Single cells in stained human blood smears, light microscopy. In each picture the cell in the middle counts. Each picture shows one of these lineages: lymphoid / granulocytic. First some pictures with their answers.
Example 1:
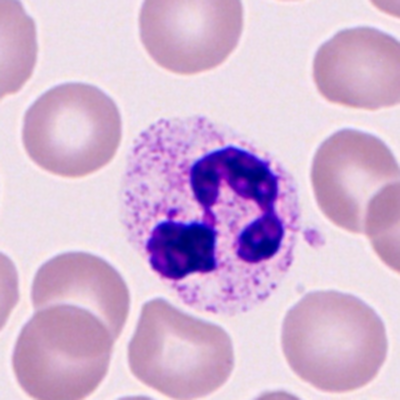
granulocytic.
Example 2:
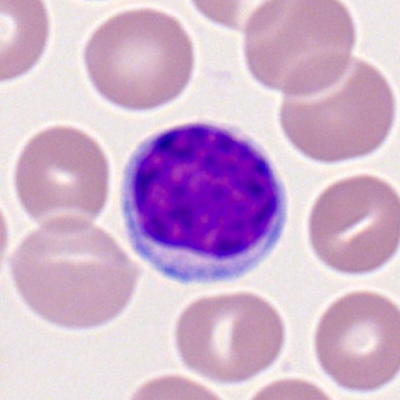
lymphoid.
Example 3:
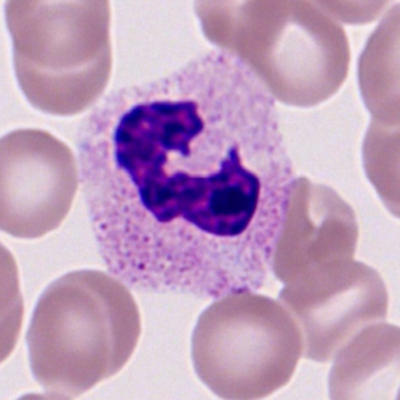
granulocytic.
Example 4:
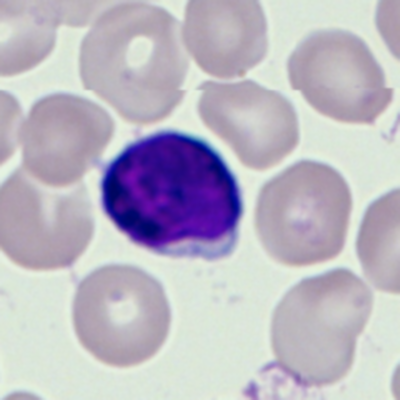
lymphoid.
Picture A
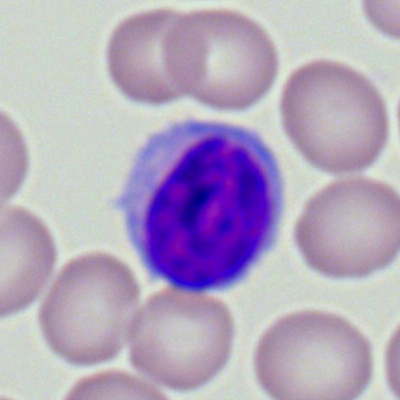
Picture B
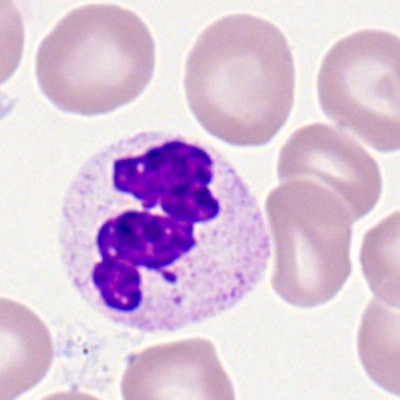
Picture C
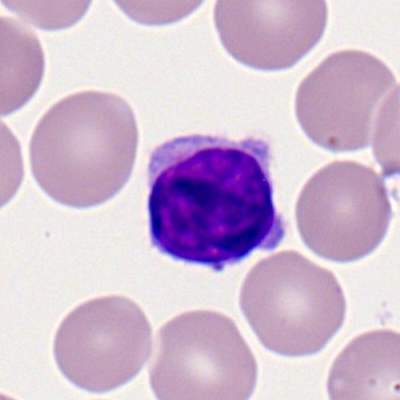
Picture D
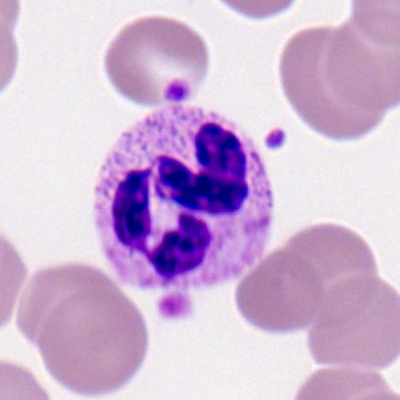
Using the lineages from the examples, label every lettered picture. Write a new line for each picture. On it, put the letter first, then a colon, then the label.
A: lymphoid.
B: granulocytic.
C: lymphoid.
D: granulocytic.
